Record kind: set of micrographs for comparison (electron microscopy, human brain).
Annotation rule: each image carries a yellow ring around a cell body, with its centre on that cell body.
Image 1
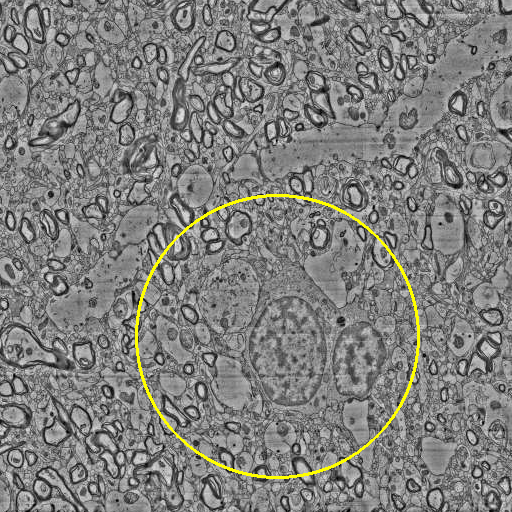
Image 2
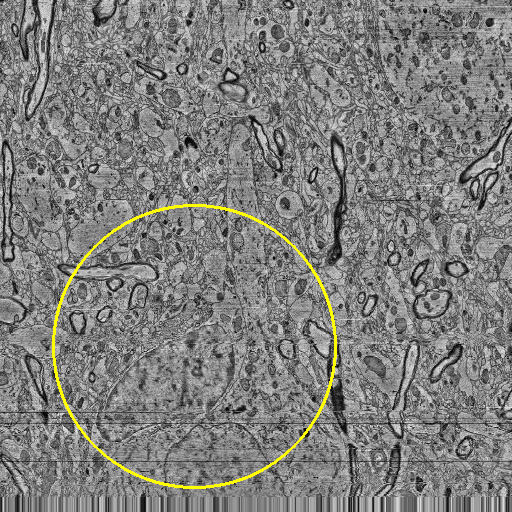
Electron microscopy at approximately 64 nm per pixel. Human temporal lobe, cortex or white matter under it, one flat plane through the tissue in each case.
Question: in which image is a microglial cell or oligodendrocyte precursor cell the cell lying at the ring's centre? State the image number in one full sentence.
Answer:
In image 2, the ring is centred on the cell in question.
